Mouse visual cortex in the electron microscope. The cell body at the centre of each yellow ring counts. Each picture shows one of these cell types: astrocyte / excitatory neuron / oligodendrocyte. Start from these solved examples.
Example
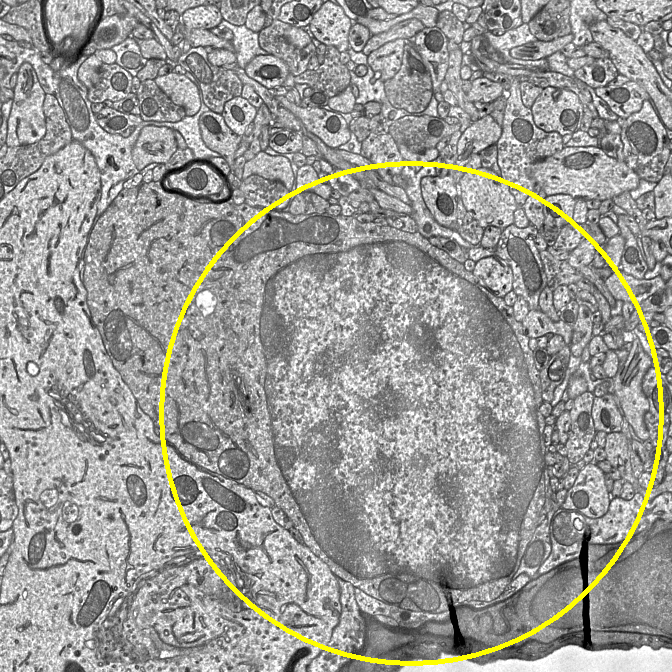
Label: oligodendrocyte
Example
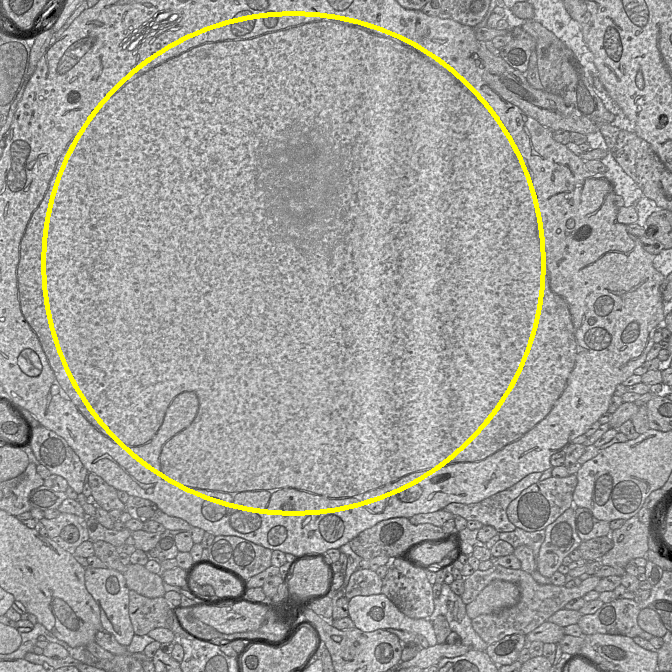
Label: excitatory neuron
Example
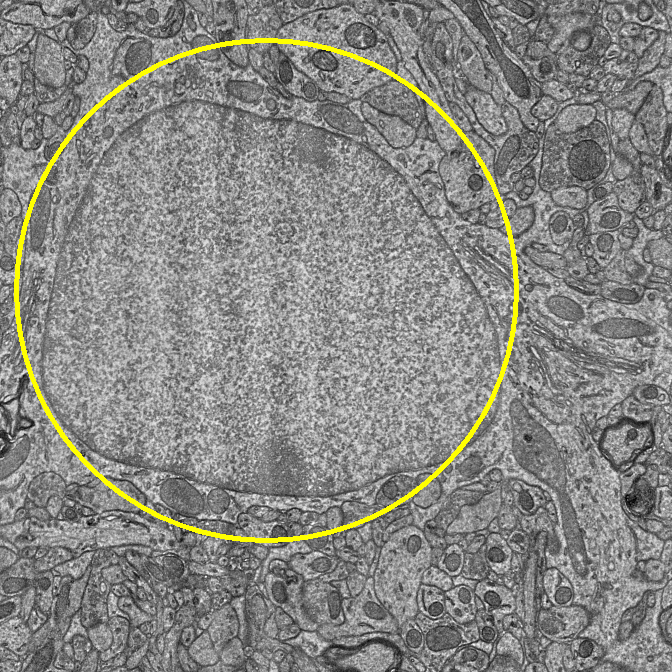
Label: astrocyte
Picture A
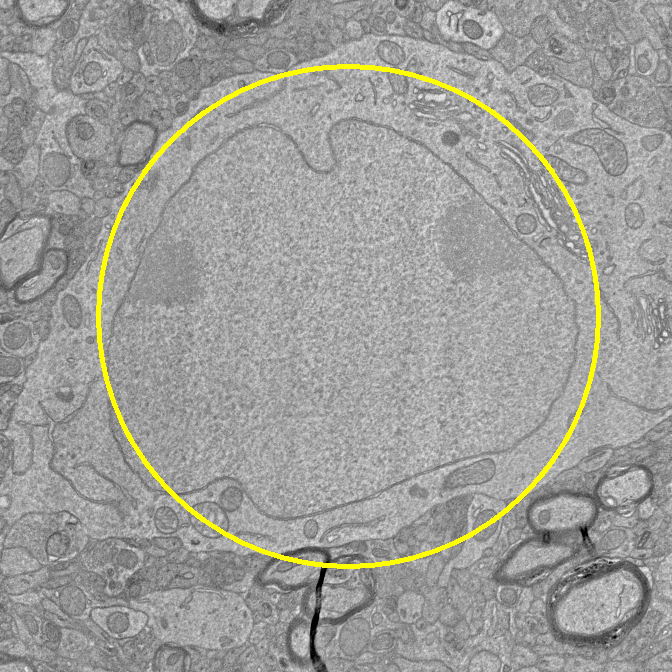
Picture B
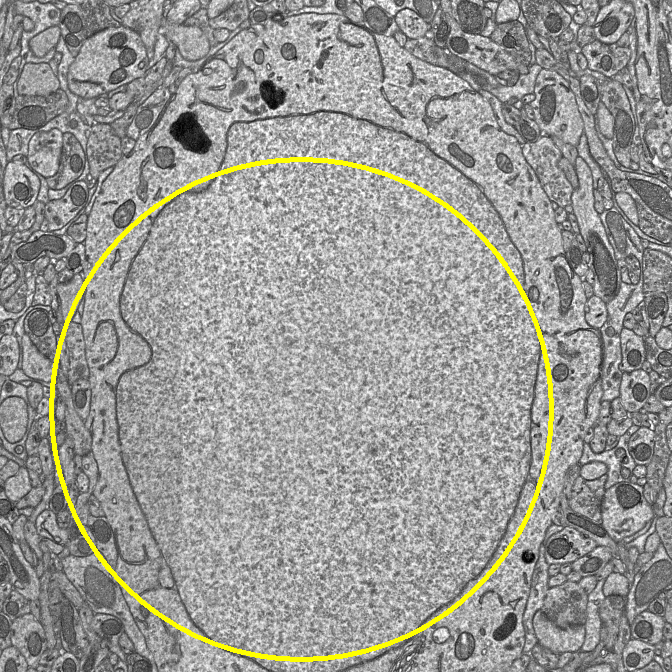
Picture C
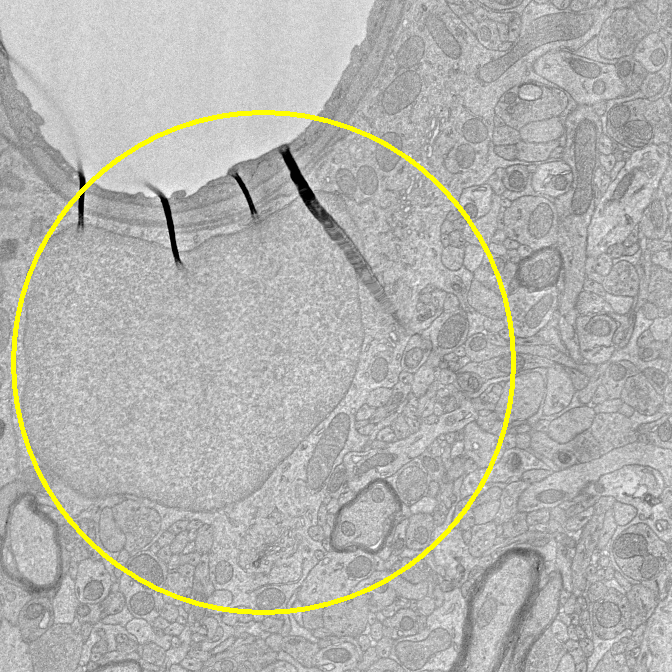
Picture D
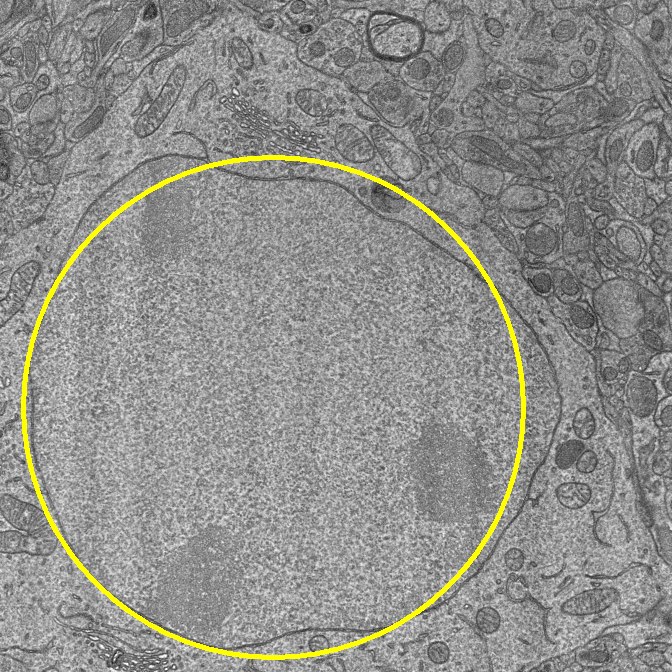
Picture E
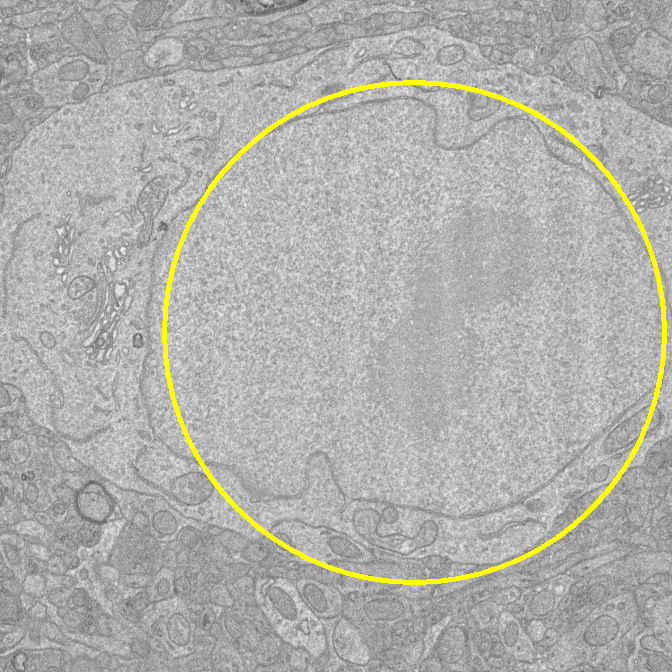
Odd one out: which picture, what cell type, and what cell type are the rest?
C differs and shows astrocyte; the others show excitatory neuron.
